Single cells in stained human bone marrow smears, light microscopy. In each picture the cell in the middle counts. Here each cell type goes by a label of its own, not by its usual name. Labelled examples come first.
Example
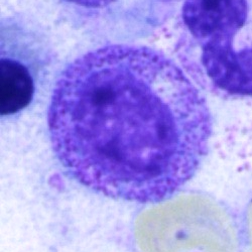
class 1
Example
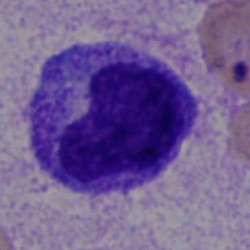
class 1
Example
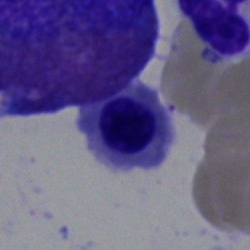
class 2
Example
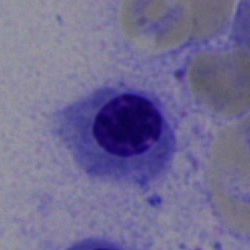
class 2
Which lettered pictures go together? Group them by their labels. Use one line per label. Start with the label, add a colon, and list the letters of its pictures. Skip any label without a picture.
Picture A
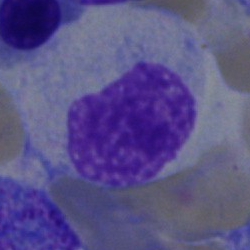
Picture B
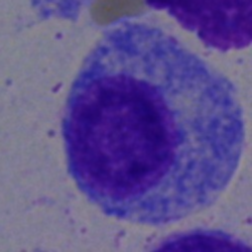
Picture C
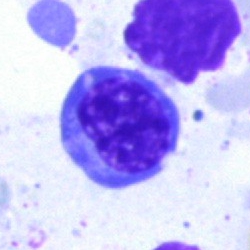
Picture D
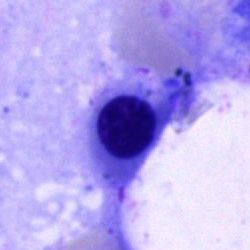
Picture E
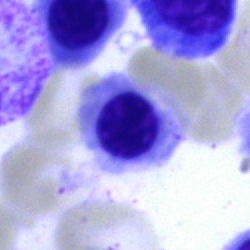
class 1: A, B
class 2: C, D, E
